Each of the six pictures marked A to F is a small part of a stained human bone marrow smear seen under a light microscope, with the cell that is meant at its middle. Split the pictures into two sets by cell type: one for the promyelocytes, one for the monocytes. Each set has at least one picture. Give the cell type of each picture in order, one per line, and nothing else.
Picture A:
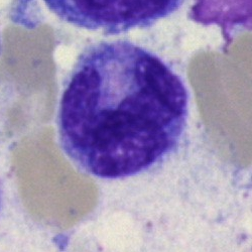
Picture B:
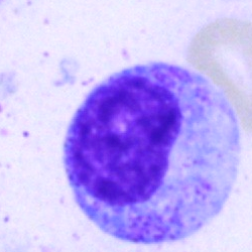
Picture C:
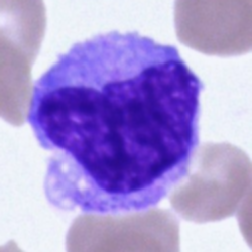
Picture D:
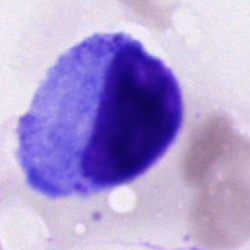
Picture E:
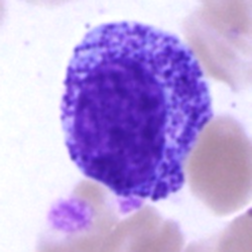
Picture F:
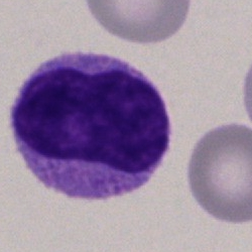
monocyte
promyelocyte
monocyte
promyelocyte
promyelocyte
monocyte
